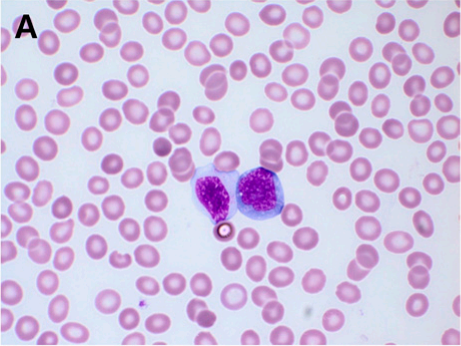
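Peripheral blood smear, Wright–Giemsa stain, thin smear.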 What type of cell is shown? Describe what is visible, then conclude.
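Reactive lymphocytes. Two nucleated cells lie side by side among the red cells, much larger than them. Each has a large purple nucleus with coarse chromatin. A rim of pale blue cytoplasm surrounds each nucleus.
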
